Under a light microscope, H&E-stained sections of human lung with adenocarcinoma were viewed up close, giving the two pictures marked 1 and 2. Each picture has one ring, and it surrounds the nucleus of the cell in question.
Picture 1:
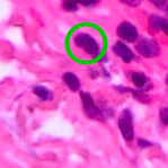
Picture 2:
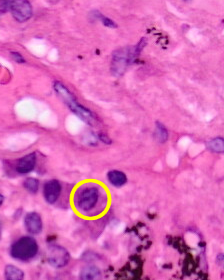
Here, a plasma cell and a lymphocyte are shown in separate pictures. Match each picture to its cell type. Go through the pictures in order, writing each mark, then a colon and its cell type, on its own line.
1: lymphocyte
2: plasma cell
